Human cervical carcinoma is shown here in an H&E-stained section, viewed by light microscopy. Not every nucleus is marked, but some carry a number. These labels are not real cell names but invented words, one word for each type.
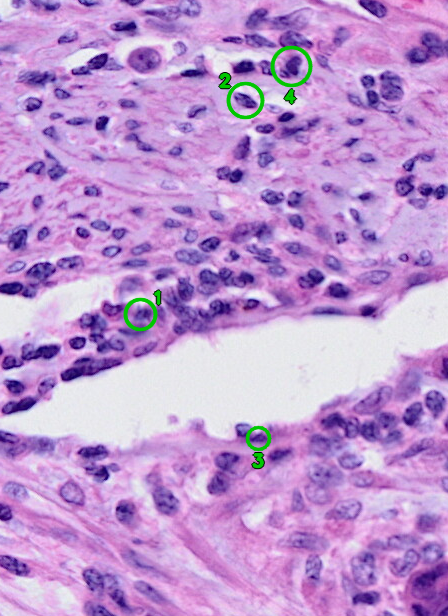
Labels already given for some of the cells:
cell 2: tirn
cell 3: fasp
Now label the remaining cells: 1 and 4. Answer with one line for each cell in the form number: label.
1: tirn
4: tirn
